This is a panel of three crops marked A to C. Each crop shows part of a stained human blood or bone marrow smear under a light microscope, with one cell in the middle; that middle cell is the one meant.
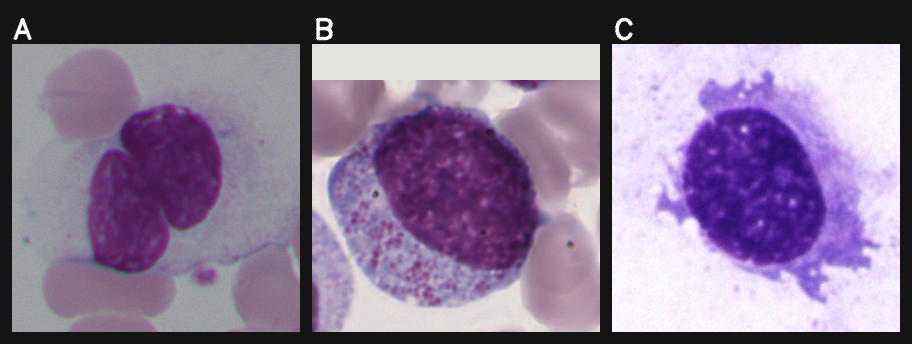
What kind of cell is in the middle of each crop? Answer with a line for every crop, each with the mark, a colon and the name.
A: monocyte
B: promyelocyte
C: plasma cell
